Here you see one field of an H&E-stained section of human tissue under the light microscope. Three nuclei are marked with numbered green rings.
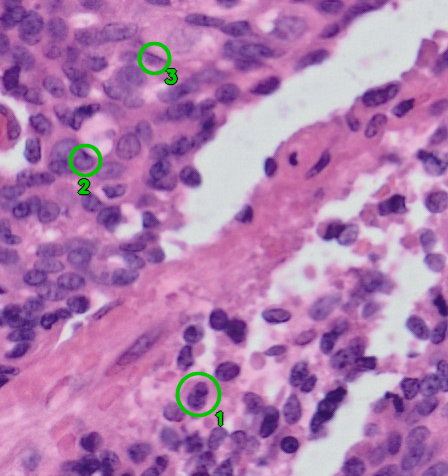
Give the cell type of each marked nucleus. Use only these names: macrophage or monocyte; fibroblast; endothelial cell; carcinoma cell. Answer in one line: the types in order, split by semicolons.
macrophage or monocyte; carcinoma cell; carcinoma cell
